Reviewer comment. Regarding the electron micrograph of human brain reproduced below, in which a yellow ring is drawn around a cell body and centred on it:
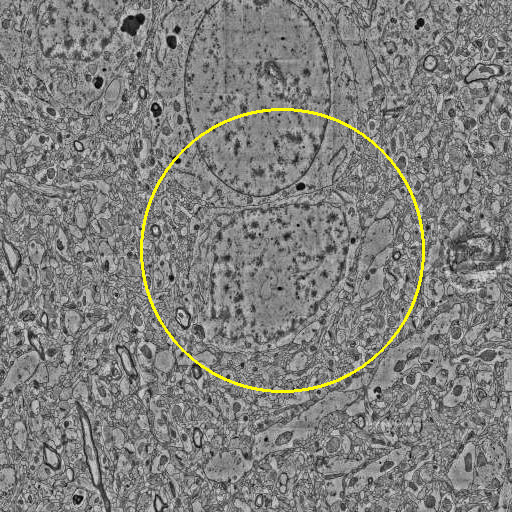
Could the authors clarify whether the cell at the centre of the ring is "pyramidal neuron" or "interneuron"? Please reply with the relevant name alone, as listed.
interneuron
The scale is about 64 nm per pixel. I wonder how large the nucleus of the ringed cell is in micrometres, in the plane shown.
In this plane, the nucleus is roughly 11 by 8 micrometres.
